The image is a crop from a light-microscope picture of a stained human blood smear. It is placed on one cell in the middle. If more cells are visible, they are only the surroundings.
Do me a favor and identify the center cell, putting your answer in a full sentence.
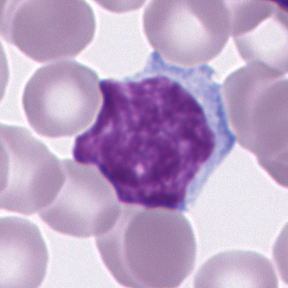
In the center of this field lies a typical lymphocyte.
